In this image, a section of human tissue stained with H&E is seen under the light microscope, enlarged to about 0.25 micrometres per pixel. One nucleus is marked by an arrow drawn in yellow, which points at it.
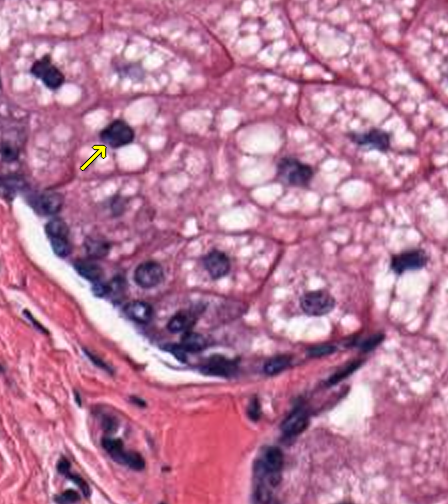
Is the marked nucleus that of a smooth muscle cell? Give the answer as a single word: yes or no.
no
